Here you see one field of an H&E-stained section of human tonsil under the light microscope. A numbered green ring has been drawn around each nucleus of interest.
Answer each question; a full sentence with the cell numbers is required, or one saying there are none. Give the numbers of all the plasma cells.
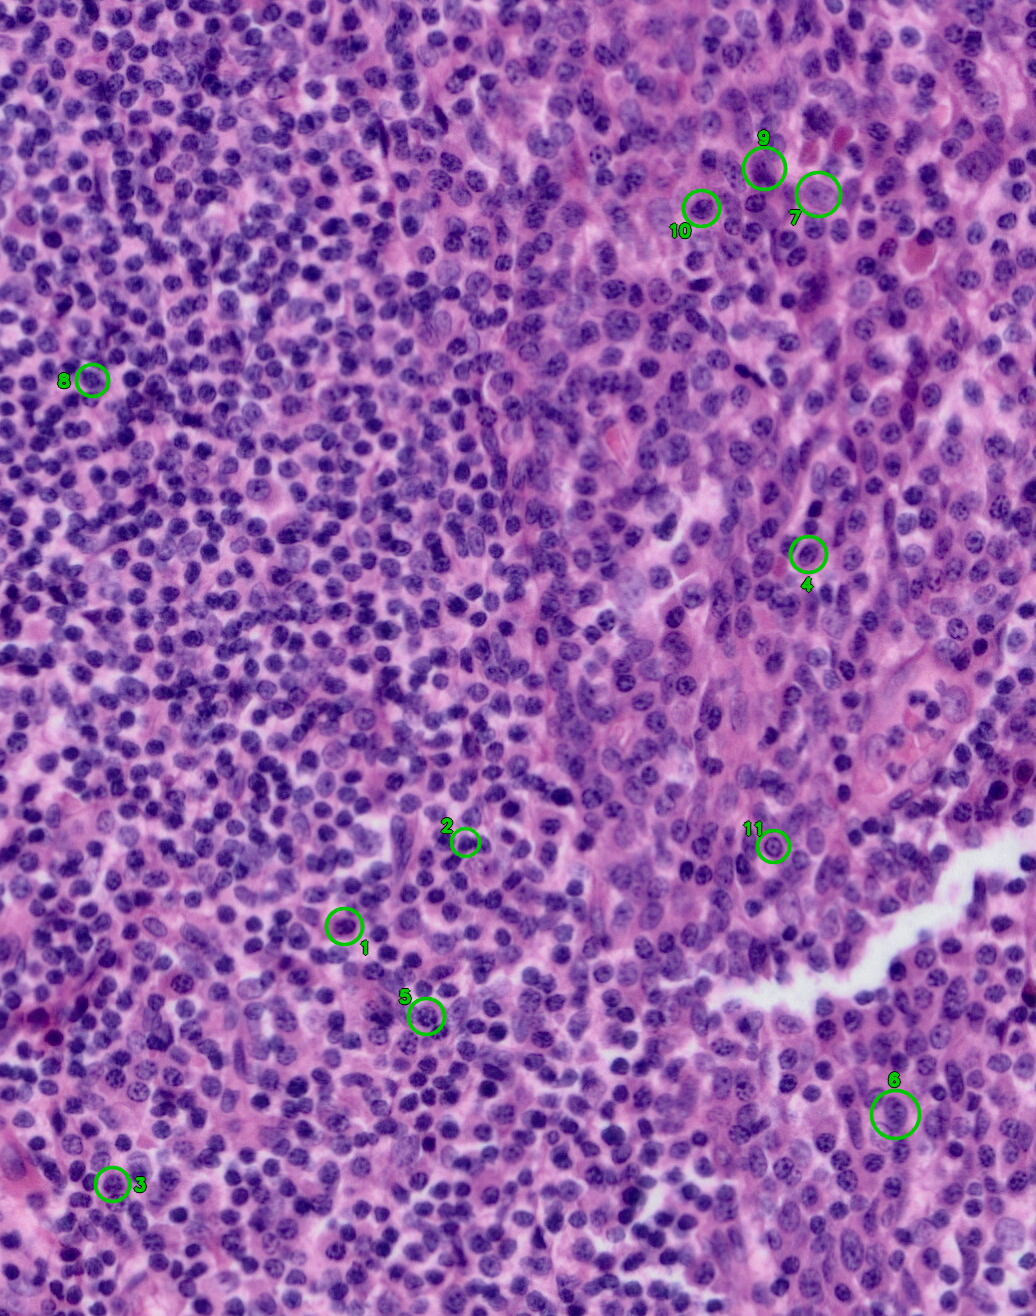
Cells 1, 3, 4, 5, 10 and 11 in the section are typed as plasma cells.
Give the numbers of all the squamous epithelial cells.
The cells carrying labels 6, 7 and 9 are squamous epithelial cells.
